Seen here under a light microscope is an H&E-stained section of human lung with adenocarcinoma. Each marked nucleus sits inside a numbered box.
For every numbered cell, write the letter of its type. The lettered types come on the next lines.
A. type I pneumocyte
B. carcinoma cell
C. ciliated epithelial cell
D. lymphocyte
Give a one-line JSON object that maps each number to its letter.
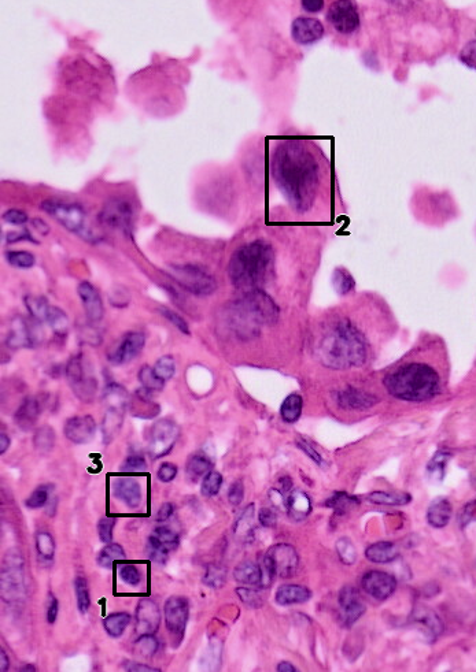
{"1": "D", "2": "B", "3": "D"}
